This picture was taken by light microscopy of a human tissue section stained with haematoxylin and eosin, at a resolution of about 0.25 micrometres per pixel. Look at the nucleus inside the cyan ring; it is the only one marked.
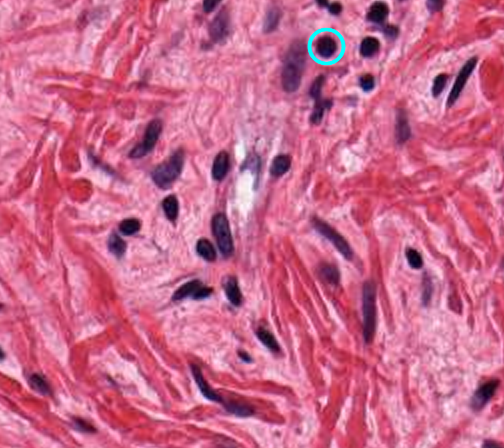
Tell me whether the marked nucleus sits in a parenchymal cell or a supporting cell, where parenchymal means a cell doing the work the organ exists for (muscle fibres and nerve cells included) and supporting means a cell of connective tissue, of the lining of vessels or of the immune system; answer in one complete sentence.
The marked nucleus is classified as belonging to a supporting cell.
